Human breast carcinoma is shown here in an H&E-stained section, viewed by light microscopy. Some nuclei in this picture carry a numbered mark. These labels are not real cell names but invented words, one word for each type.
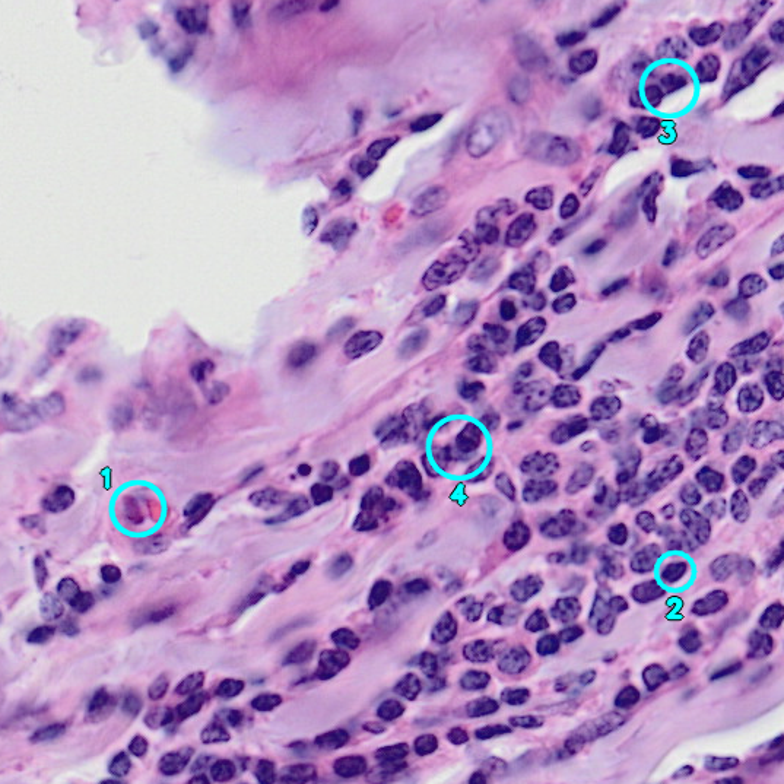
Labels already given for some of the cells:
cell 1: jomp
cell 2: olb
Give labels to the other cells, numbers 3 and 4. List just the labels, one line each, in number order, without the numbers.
olb
olb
